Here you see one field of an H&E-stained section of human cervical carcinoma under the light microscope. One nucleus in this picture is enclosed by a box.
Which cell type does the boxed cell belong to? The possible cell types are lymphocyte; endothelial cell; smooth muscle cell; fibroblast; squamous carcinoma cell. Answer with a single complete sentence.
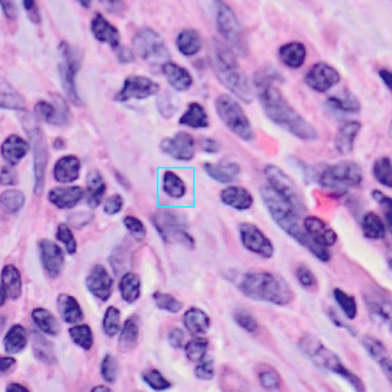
This is a lymphocyte.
